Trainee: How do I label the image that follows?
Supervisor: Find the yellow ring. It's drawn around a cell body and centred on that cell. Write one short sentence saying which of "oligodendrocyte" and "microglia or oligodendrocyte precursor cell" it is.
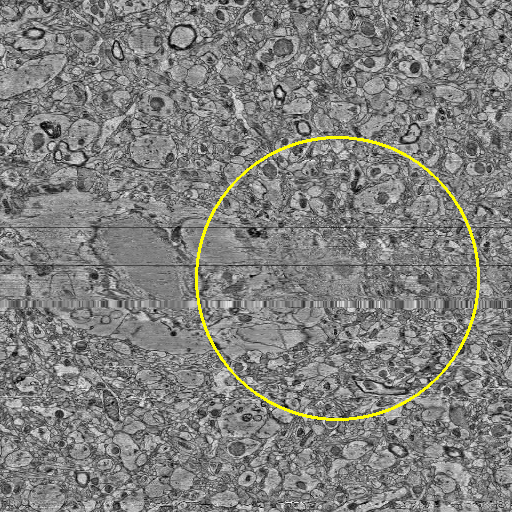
This is the cell body of an oligodendrocyte.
